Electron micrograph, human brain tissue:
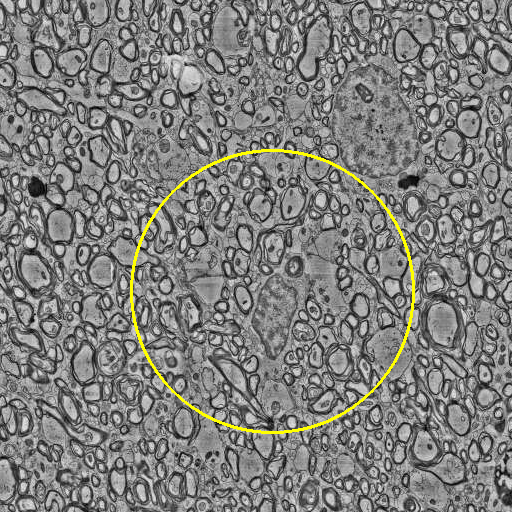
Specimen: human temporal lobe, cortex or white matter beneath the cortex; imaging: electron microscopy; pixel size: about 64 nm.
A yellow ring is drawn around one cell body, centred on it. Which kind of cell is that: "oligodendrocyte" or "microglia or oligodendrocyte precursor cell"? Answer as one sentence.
It is an oligodendrocyte at the centre of the ring.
